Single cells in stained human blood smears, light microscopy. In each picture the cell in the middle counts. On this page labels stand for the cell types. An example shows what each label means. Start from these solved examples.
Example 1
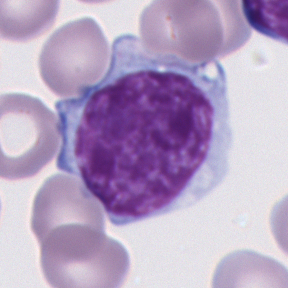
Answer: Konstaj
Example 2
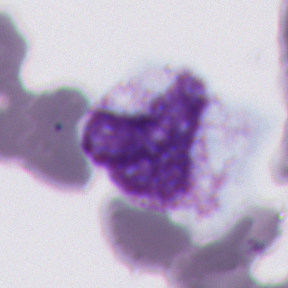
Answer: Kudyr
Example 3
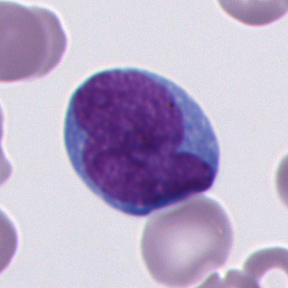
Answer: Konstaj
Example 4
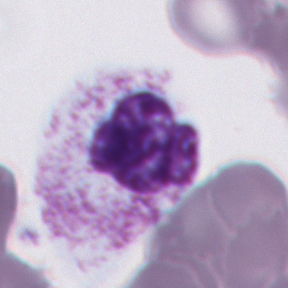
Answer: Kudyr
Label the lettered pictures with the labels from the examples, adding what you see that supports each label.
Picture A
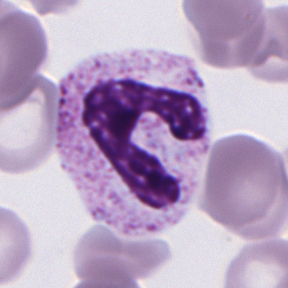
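Kudyr. Evidence: The nucleus is a thick curved band bent into a C shape that opens to the right.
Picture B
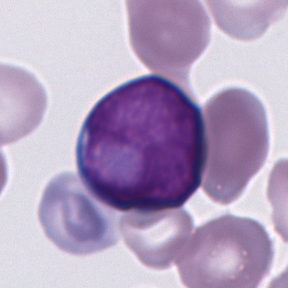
Konstaj. Evidence: The thin rim of cytoplasm stains dark blue.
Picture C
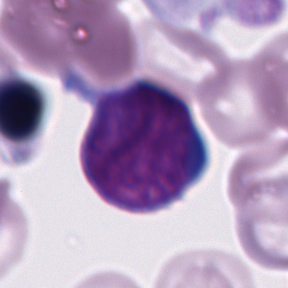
Konstaj. Evidence: The thin cytoplasmic rim stains deep blue.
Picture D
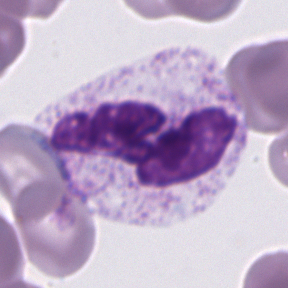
Kudyr. Evidence: The cytoplasm is abundant and very pale, almost colourless.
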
